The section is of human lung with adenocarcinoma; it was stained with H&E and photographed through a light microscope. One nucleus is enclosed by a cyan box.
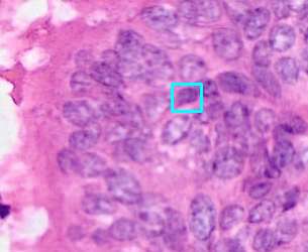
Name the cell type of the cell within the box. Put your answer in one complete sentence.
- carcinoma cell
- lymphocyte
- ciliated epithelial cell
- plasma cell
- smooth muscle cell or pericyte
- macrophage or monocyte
As far as its identity is concerned, the cell within the box is a ciliated epithelial cell.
